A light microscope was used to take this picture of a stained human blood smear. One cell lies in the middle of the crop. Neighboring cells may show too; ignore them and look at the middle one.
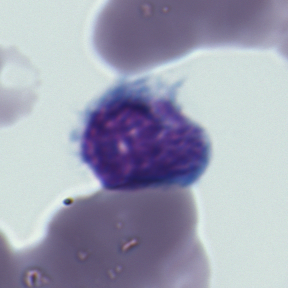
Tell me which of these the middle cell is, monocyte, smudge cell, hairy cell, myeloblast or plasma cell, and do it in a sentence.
Answering briefly, the cell in the middle is a hairy cell.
